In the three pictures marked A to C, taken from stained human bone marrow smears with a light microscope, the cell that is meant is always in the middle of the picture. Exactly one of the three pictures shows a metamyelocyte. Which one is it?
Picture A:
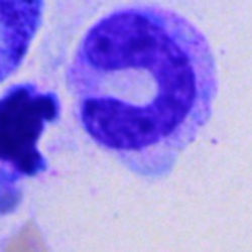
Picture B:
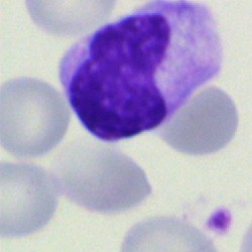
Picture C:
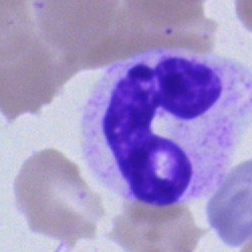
B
